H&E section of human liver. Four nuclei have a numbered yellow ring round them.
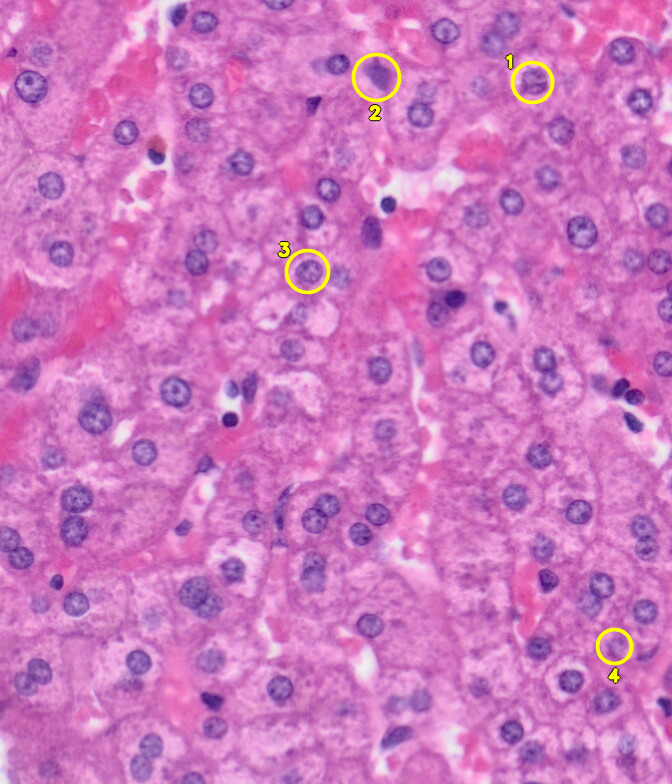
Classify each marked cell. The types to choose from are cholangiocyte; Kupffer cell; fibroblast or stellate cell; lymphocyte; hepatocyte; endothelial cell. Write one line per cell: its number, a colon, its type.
1: hepatocyte
2: endothelial cell
3: hepatocyte
4: hepatocyte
